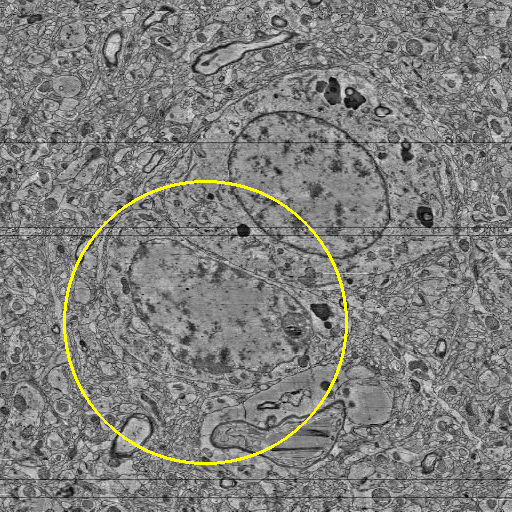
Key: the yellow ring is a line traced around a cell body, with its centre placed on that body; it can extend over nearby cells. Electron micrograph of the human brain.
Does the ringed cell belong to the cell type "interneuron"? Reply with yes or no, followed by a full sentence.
Yes, the cell at the centre of the yellow ring in the picture is of that type.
